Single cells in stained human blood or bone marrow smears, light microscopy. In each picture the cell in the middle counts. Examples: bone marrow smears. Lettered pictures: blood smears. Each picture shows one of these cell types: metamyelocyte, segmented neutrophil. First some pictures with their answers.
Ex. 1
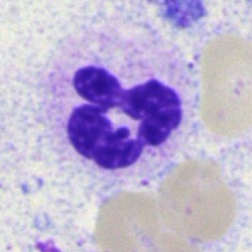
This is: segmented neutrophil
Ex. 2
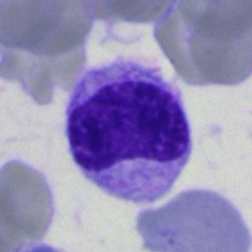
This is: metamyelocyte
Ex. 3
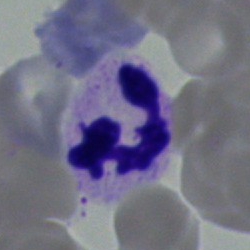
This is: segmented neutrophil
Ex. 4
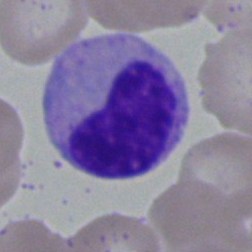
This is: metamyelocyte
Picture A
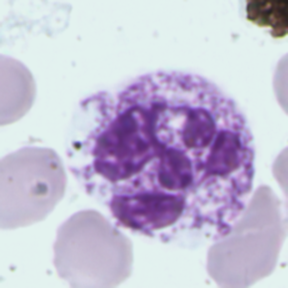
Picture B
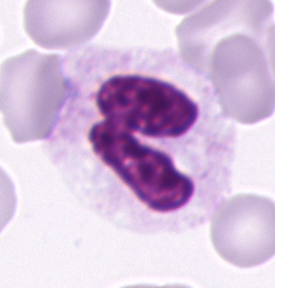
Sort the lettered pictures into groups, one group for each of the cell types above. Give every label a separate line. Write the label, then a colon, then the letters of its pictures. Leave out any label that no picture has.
segmented neutrophil: A, B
